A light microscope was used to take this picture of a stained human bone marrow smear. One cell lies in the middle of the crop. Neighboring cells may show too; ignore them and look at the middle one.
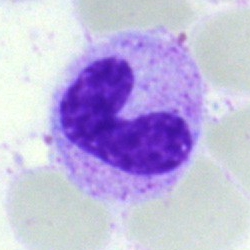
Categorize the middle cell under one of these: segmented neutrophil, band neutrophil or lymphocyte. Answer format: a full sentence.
The cell in the middle of the field of view is a band neutrophil.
